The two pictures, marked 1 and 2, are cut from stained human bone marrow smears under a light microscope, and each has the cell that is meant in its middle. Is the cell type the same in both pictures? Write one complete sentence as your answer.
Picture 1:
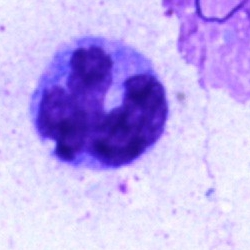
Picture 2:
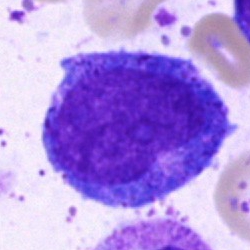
No, the types are not the same, since picture 1 shows a monocyte and picture 2 a promyelocyte.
